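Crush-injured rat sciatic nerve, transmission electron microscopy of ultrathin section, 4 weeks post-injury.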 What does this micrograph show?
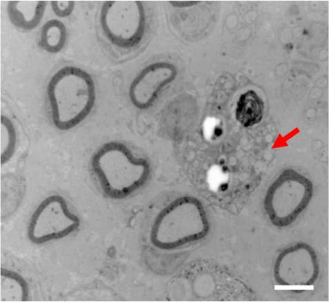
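The axons have pale axoplasm enclosed by thin dark myelin sheaths, and are separated by wide pale spaces. Near the centre lies a cluster with dense dark and clear inclusions among small profiles.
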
